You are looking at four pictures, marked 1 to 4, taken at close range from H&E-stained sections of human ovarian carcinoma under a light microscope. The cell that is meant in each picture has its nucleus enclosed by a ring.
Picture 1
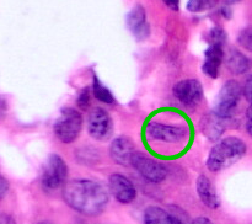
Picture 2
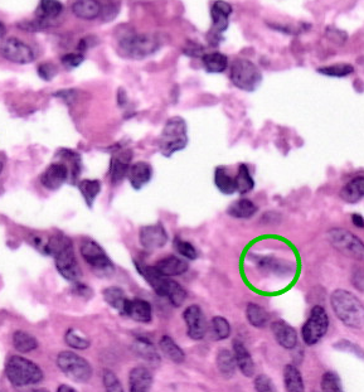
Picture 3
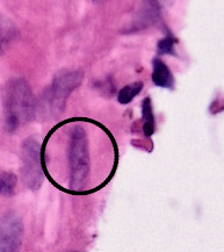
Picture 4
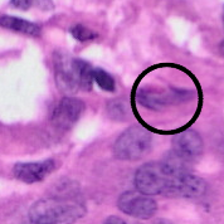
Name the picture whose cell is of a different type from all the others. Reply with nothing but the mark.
3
